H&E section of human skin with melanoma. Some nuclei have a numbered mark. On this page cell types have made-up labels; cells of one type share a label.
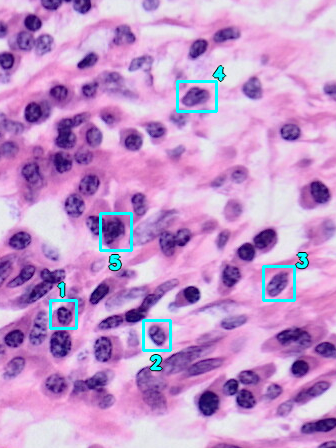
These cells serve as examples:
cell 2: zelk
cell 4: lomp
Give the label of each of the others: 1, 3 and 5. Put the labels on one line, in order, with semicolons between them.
zelk; lomp; zelk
